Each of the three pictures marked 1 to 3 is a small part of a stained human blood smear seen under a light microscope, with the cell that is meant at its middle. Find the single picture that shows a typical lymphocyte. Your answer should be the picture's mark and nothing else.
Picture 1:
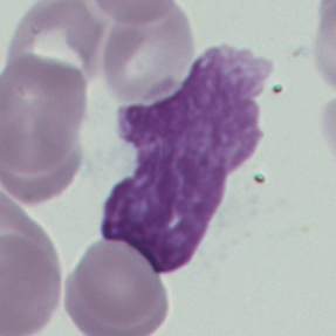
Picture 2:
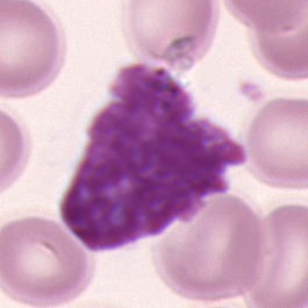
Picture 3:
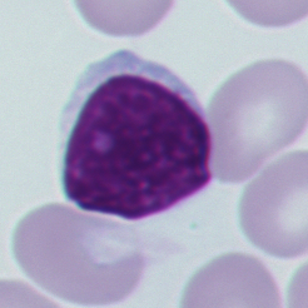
3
